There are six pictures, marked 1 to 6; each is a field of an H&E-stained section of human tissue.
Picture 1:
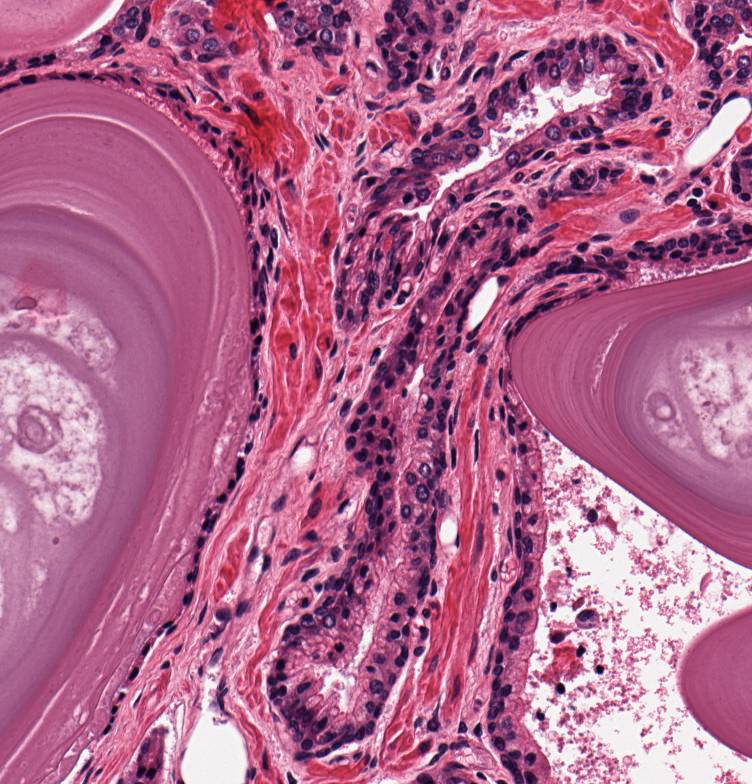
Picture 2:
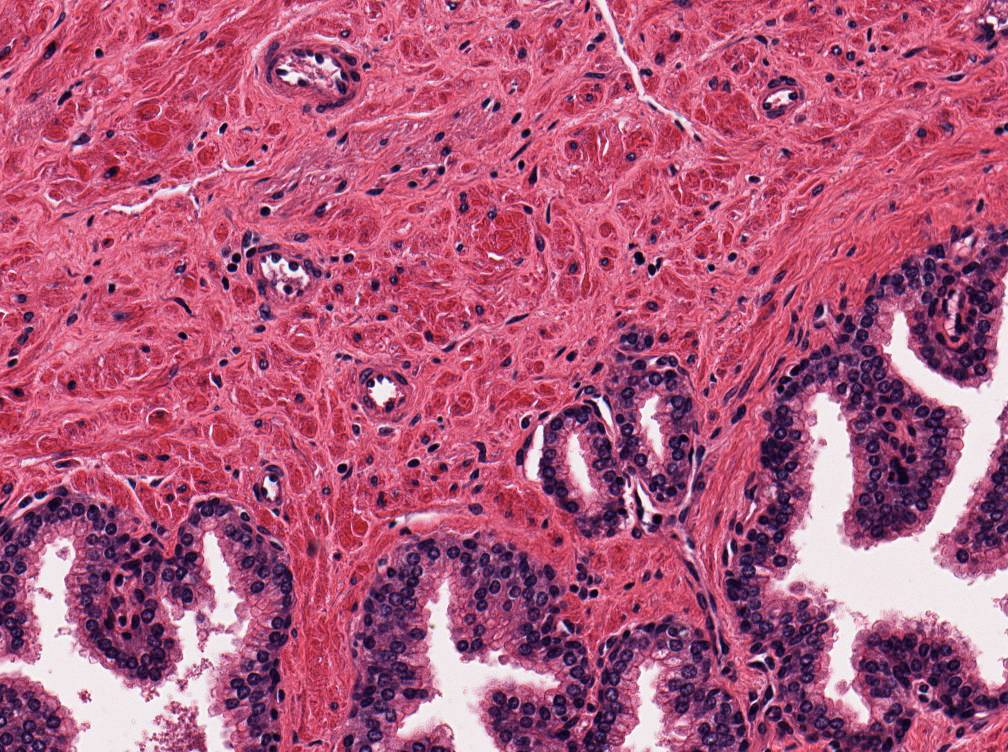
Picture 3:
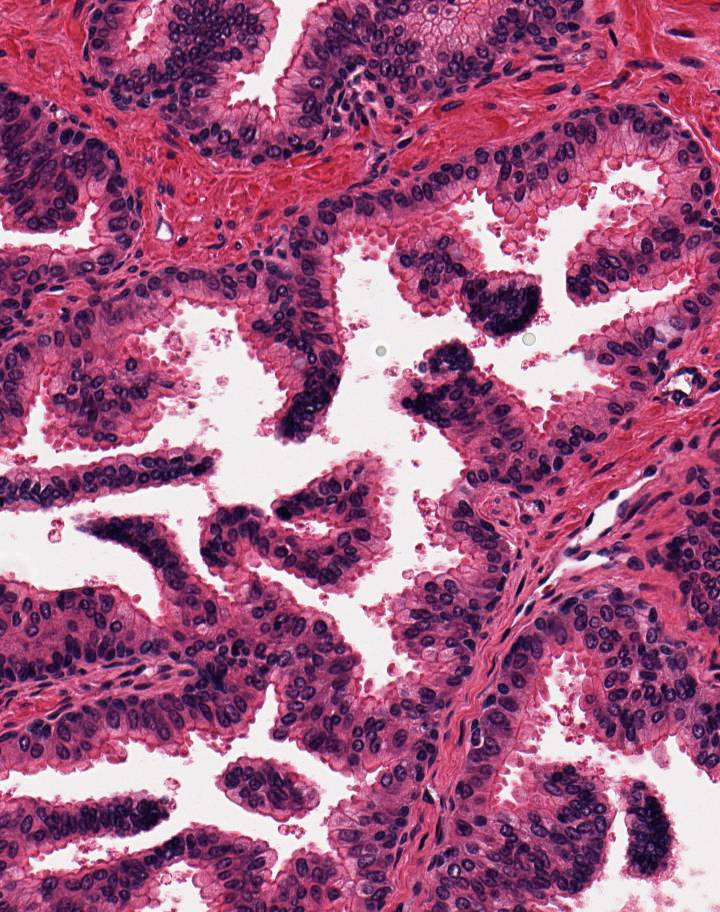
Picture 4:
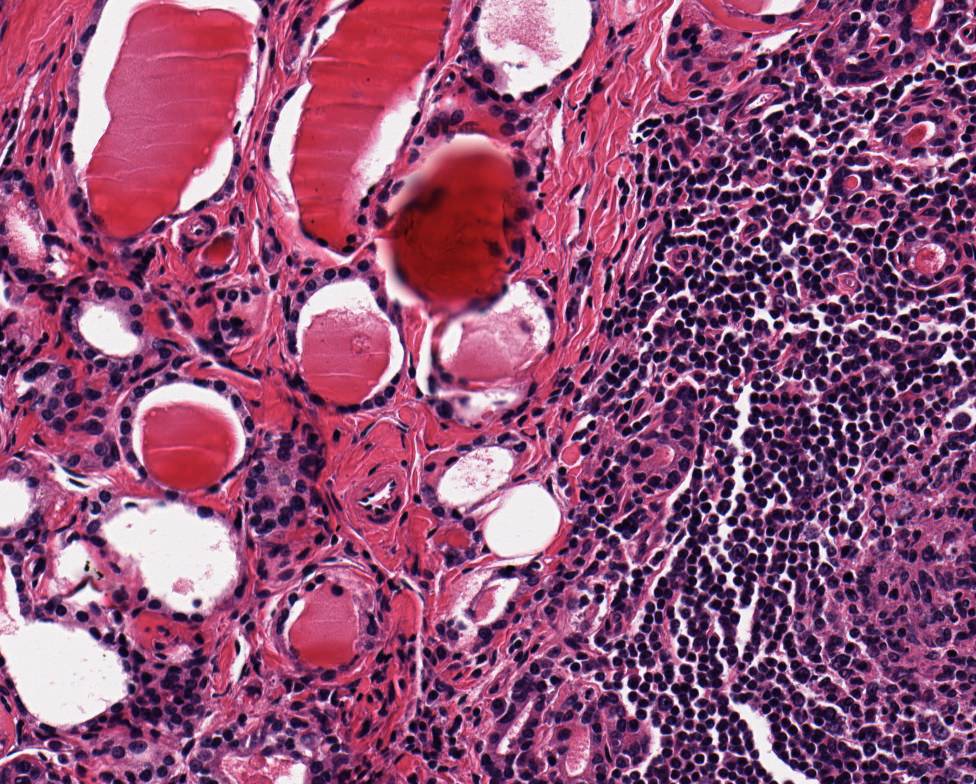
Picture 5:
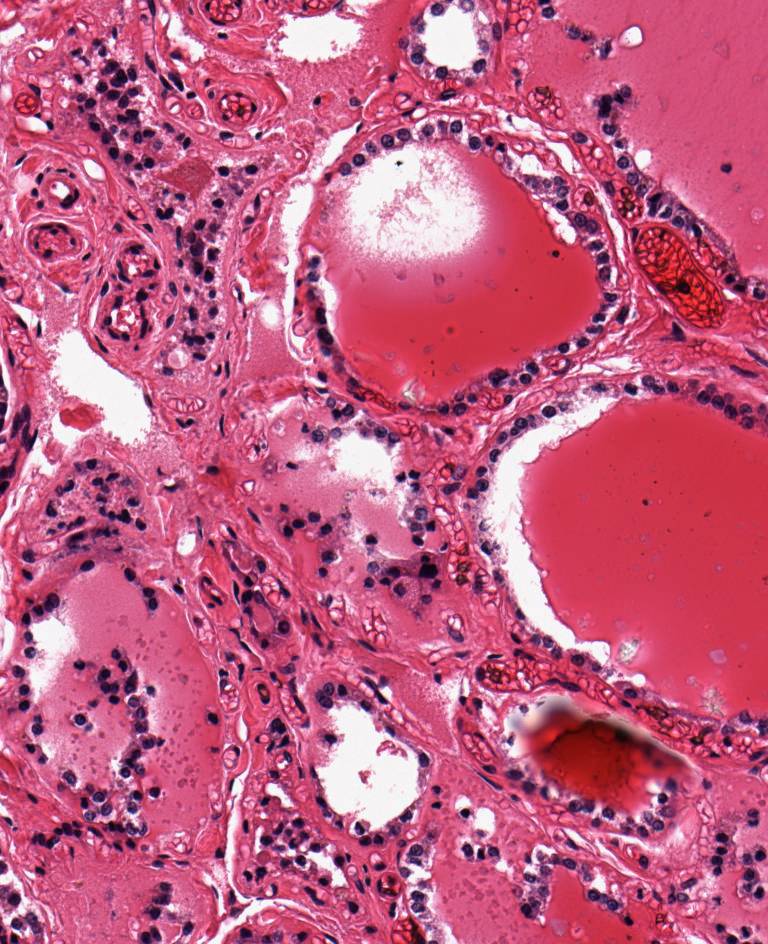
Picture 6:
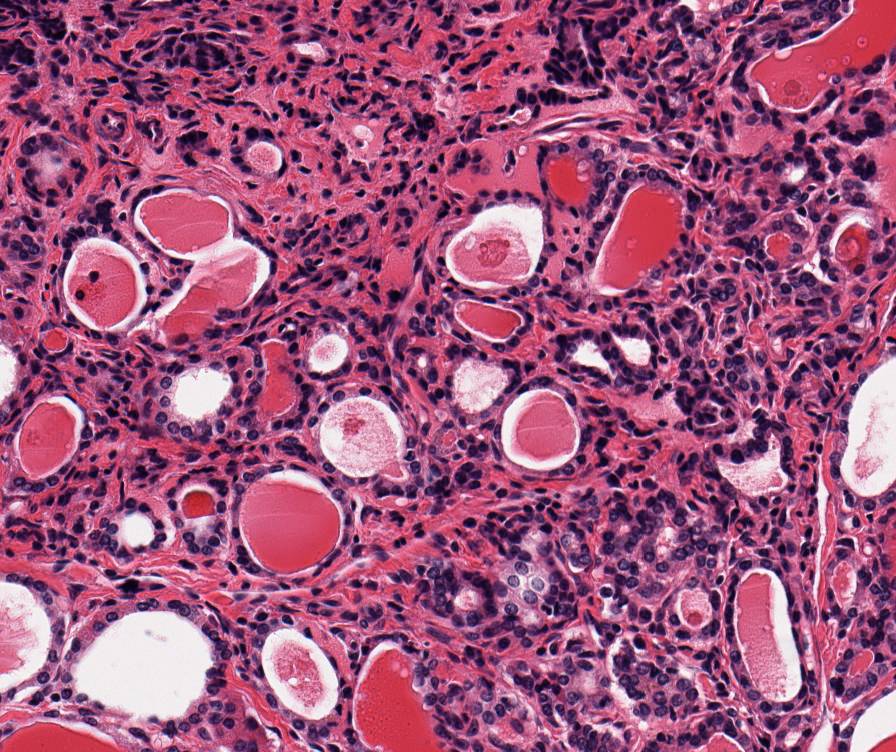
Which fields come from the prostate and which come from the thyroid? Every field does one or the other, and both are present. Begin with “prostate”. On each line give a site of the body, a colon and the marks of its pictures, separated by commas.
prostate: 1, 2, 3
thyroid: 4, 5, 6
